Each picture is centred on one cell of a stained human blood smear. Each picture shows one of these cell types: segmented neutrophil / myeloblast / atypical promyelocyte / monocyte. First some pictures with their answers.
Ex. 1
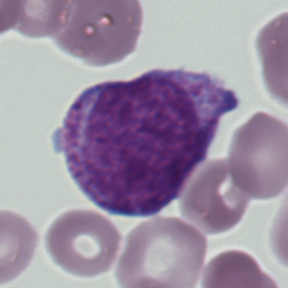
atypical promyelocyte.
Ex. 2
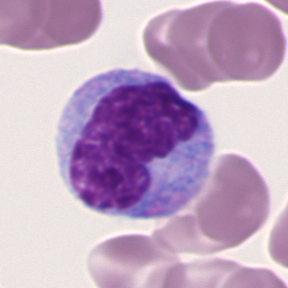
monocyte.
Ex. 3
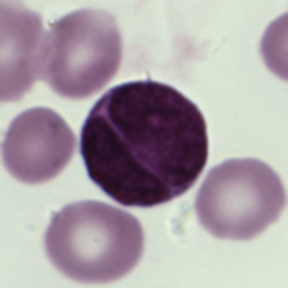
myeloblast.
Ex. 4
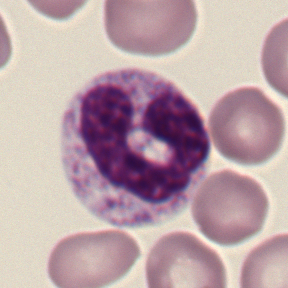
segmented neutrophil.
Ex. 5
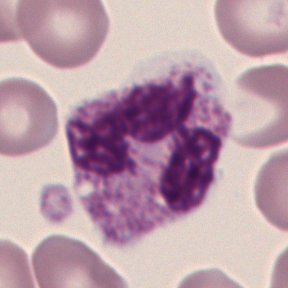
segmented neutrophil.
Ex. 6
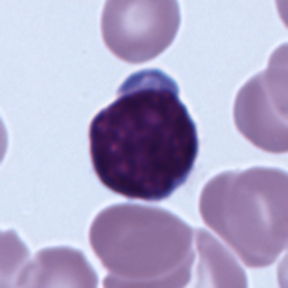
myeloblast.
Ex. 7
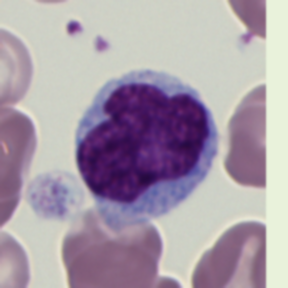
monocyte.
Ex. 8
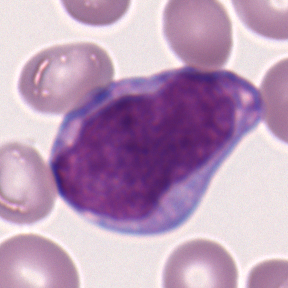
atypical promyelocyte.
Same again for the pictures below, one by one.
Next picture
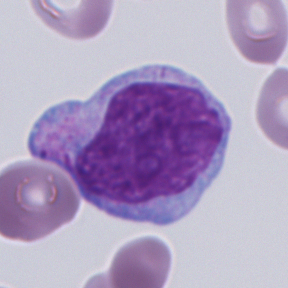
atypical promyelocyte.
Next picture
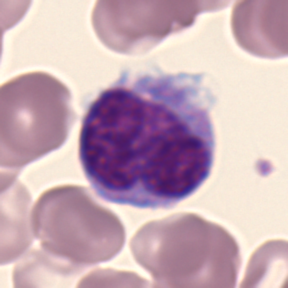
monocyte.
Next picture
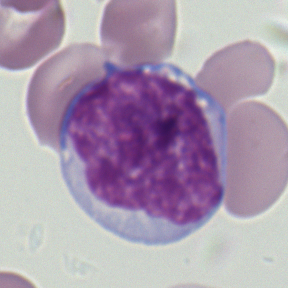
myeloblast.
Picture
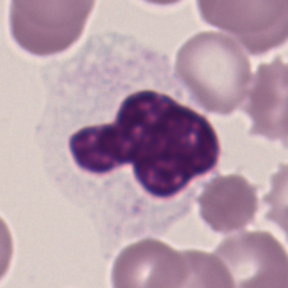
segmented neutrophil.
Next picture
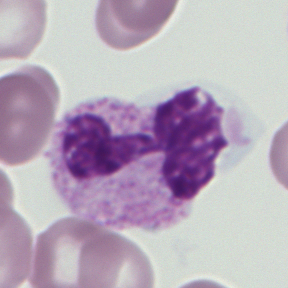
segmented neutrophil.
